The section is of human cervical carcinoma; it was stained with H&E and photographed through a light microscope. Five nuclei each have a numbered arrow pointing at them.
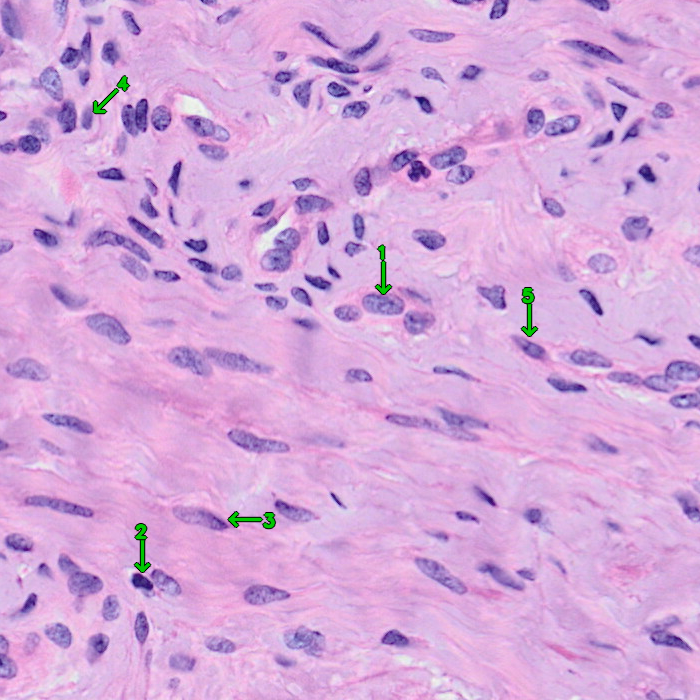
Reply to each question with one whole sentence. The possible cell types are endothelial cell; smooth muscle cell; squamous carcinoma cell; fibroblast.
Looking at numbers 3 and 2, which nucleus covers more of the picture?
It is nucleus 3, which covers about 2.5 times the area of nucleus 2.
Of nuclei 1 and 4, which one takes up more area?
Nucleus 1 is the larger one, covering about 3 times the area of nucleus 4.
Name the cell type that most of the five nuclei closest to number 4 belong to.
Around number 4, most of the five nearest nuclei are those of fibroblasts.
